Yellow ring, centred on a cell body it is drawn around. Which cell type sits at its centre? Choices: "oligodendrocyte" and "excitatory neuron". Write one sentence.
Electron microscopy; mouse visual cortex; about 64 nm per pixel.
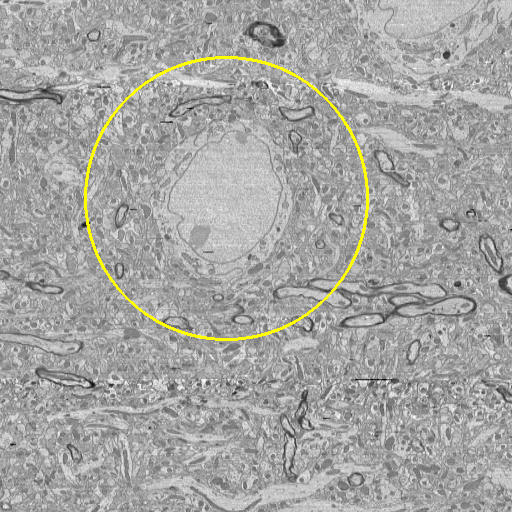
At the centre of the ring sits an excitatory neuron.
